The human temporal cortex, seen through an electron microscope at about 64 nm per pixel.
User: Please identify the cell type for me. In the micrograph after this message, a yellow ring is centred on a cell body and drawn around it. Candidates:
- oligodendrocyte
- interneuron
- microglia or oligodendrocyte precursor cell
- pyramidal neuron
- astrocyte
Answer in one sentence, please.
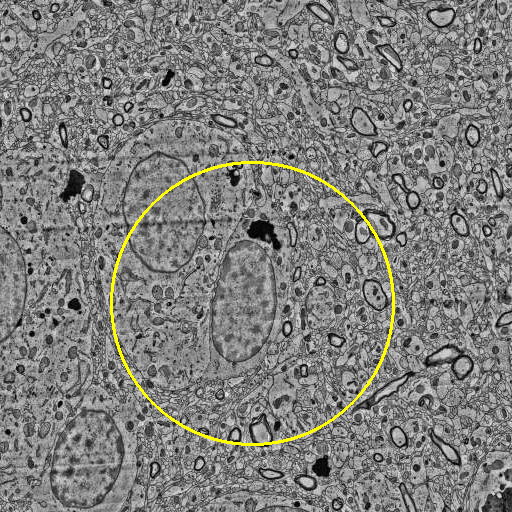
The ring is drawn around the cell body of an oligodendrocyte.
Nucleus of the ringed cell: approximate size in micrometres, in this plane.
About 8 by 4 micrometres; in this plane the nucleus is clearly longer than it is wide.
